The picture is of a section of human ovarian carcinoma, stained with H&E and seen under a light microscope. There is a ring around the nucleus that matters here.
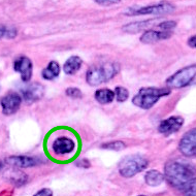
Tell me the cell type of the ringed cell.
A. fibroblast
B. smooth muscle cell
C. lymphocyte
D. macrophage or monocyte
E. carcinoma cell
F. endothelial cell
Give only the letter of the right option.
C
